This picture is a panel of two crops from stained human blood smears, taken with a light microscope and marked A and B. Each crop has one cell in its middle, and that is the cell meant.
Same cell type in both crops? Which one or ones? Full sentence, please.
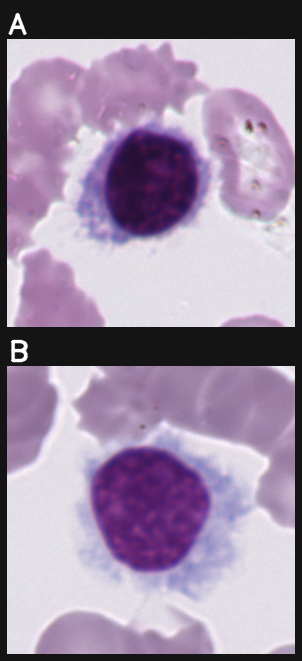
Yes, for both crops, the central cells are hairy cells.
